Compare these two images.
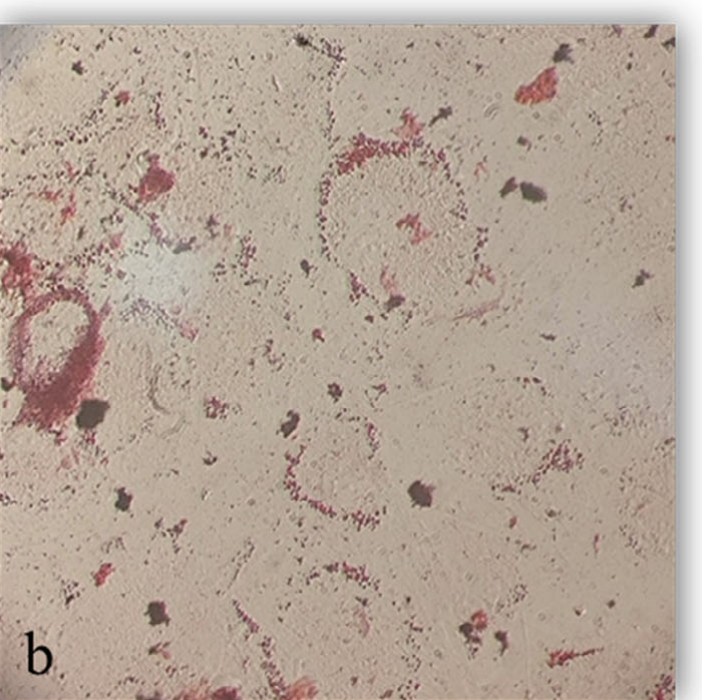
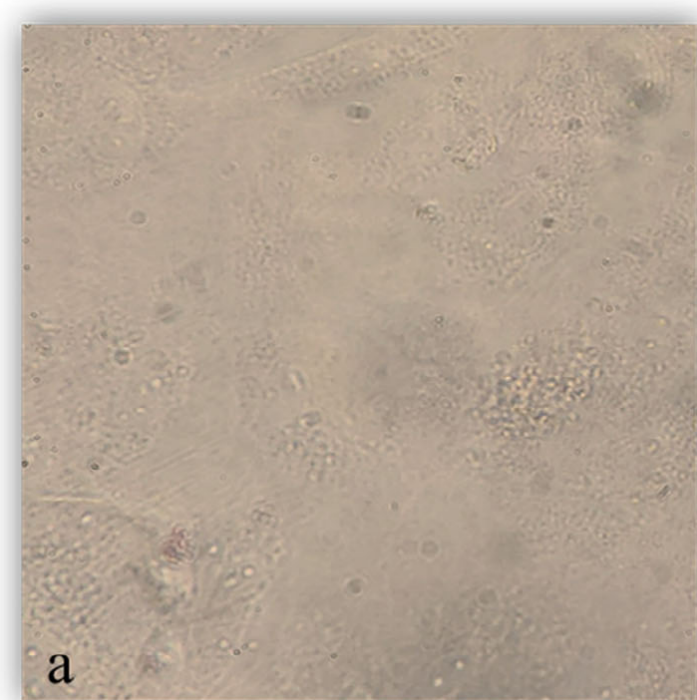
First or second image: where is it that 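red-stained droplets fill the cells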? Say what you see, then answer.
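First image: many red droplets form rings and clusters within rounded cells.
The first image.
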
